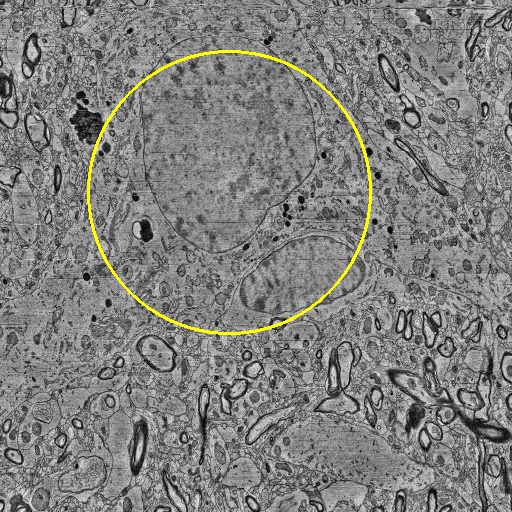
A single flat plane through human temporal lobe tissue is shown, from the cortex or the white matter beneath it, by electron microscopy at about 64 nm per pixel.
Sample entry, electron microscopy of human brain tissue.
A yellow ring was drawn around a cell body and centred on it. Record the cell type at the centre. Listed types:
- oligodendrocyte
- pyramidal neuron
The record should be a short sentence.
The cell at the ring's centre is a pyramidal neuron.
